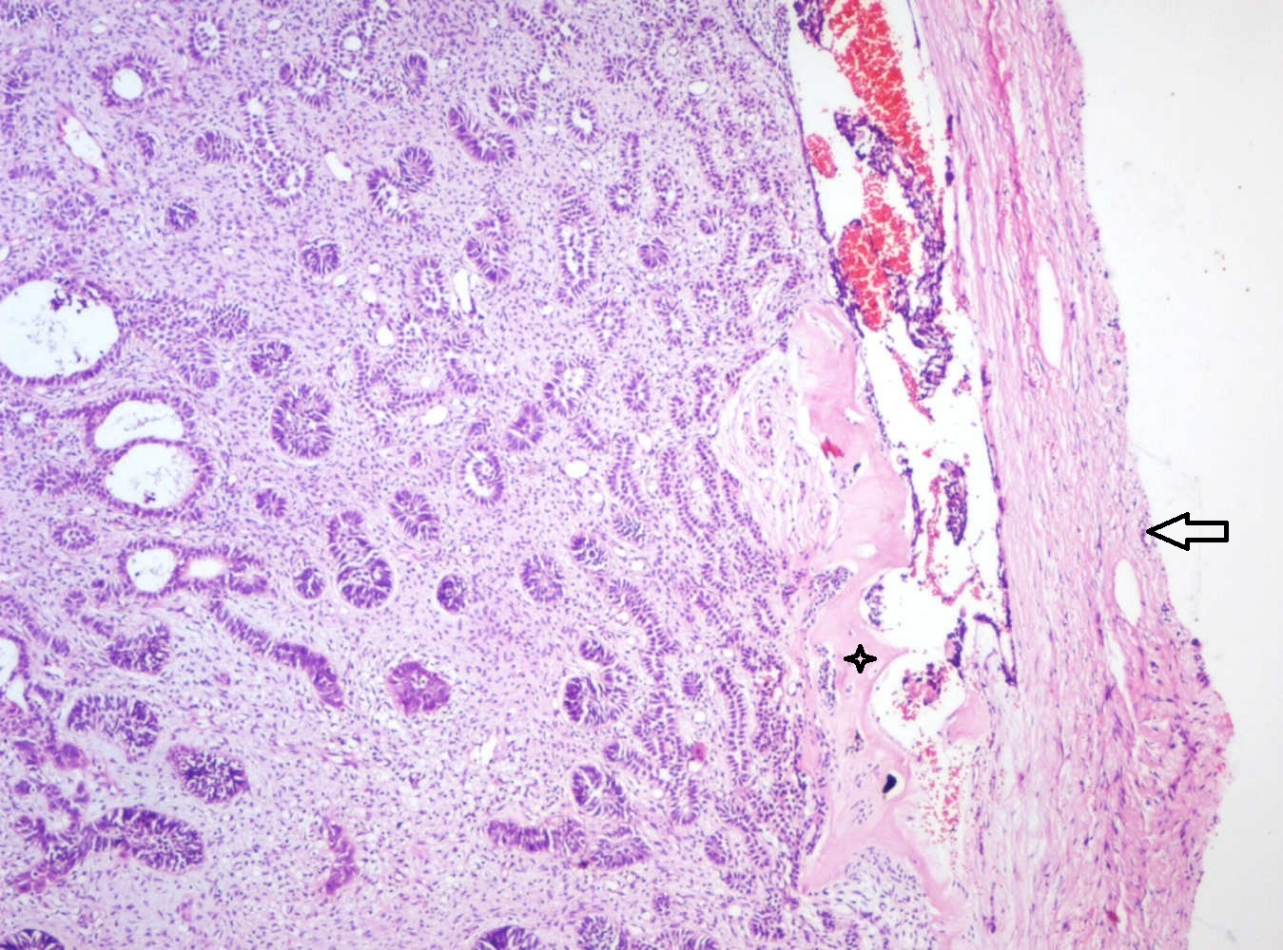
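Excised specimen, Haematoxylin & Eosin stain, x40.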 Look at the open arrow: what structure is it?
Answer: Fibrous capsule.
